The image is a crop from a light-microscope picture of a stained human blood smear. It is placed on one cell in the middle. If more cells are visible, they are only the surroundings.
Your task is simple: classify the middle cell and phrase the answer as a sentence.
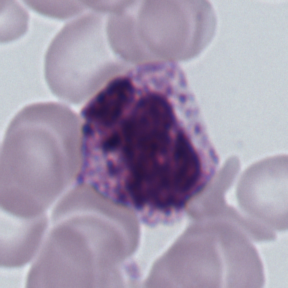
The cell centred in this crop is categorized as a basophil.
